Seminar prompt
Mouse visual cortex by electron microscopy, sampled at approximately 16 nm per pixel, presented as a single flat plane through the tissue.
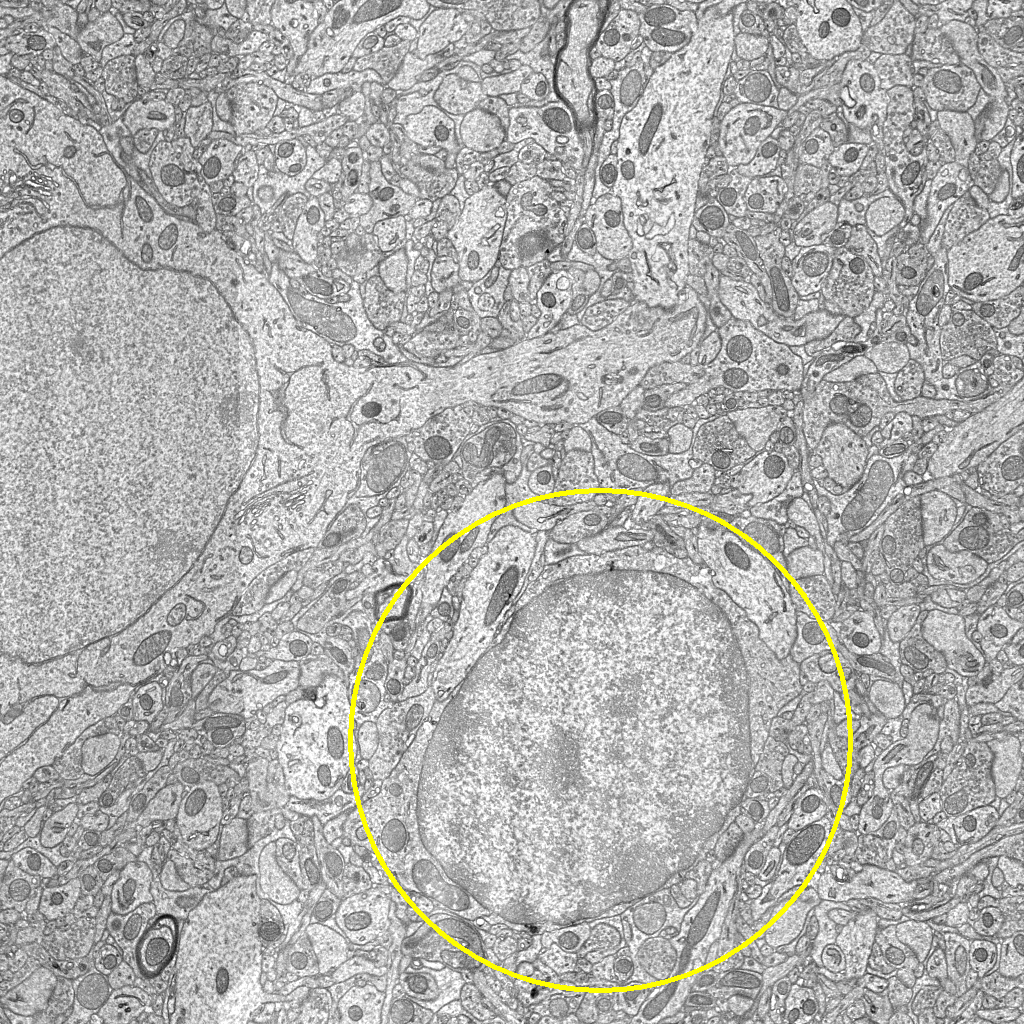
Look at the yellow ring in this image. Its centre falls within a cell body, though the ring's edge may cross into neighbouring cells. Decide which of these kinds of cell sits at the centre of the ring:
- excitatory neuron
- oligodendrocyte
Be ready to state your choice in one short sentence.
The kind of cell at the ring's centre is an oligodendrocyte.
